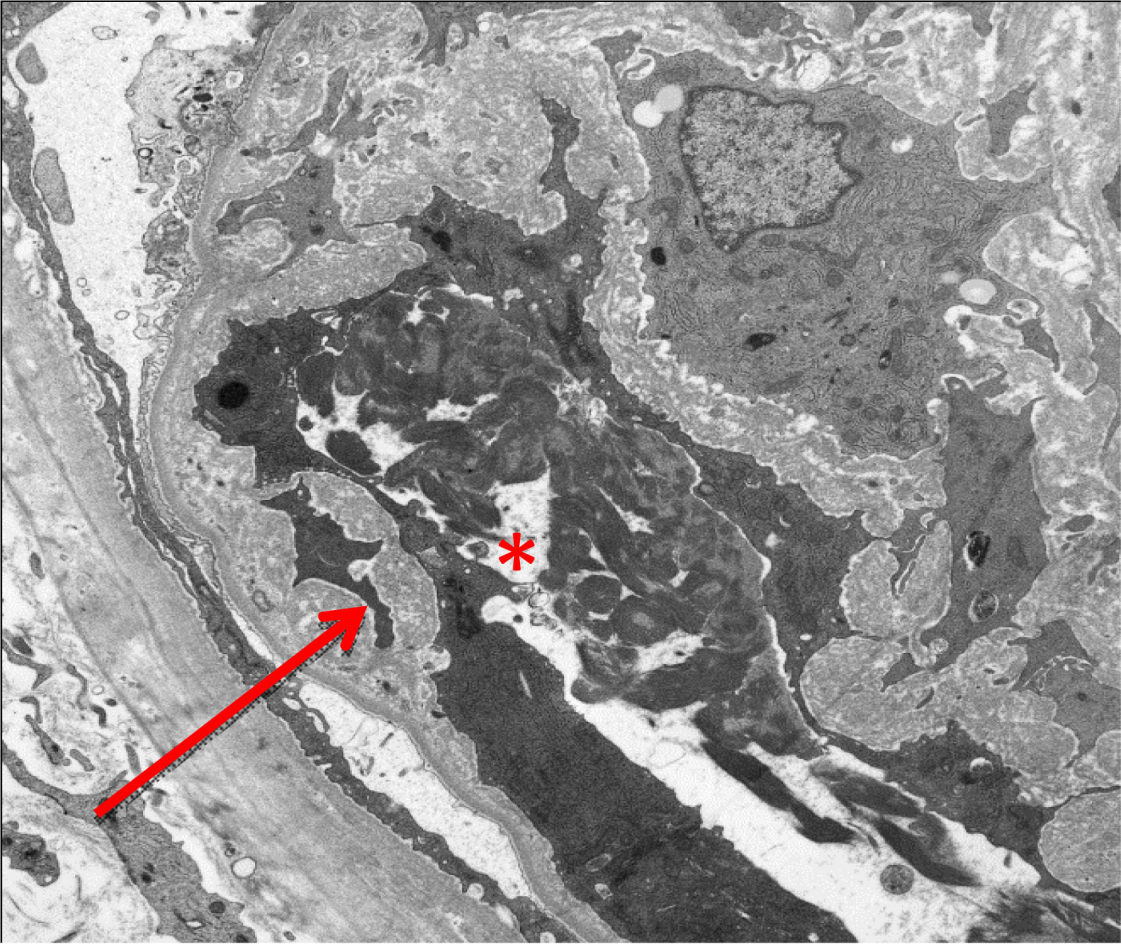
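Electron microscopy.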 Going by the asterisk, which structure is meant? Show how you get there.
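The asterisk lies among dense, dark, irregular clumped material. The dark clumps fill a lumen with pale clefts between them. The answer: Fibrin.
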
